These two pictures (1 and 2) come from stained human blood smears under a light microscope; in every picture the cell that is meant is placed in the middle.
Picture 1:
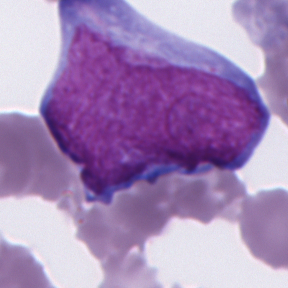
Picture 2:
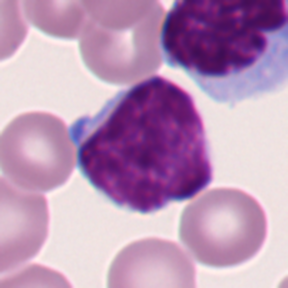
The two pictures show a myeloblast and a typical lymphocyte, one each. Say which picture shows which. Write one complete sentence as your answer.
Picture 1 shows a myeloblast and picture 2 shows a typical lymphocyte.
